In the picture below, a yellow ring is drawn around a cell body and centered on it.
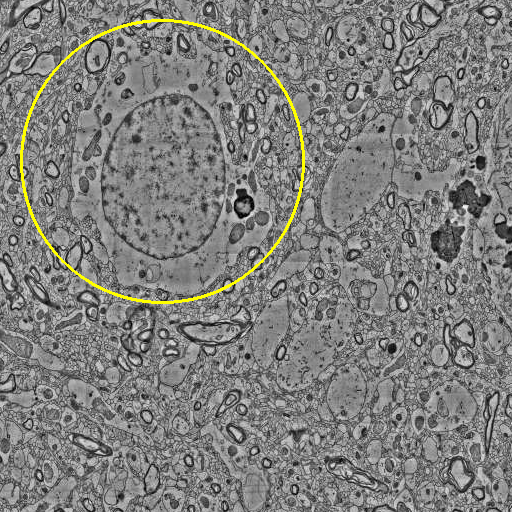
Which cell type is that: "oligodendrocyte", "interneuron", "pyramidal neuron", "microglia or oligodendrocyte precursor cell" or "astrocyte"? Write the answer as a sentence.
The cell centered in the ring is an astrocyte.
